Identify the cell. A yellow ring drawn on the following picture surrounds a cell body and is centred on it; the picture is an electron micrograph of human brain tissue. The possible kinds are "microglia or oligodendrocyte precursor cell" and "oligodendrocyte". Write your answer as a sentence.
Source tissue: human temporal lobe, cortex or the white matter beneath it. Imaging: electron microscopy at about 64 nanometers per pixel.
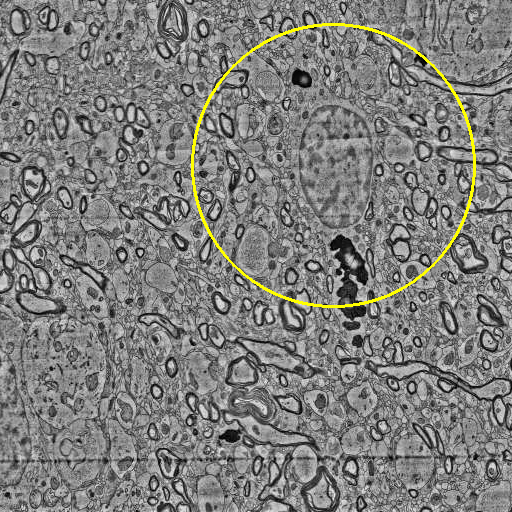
The cell identified by the ring is an oligodendrocyte.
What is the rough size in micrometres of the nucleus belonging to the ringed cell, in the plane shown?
Approximately 8 by 5 micrometers, which makes the nucleus clearly longer than it is wide in this plane.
